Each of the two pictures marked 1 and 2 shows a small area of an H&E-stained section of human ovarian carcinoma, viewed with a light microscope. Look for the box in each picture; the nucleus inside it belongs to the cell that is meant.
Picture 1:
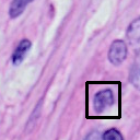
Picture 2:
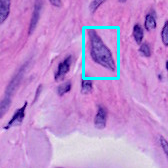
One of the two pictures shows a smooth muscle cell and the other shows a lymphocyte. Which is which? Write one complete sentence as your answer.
It is picture 1 that shows a lymphocyte, and picture 2 that shows a smooth muscle cell.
